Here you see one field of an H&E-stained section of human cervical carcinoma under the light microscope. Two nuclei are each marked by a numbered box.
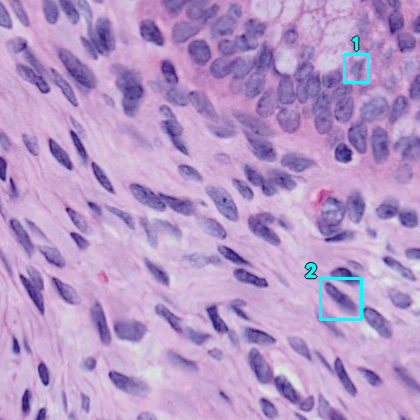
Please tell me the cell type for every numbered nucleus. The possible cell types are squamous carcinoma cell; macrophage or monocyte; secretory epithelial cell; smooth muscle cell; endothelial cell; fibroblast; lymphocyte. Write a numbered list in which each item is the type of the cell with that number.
1. secretory epithelial cell
2. fibroblast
